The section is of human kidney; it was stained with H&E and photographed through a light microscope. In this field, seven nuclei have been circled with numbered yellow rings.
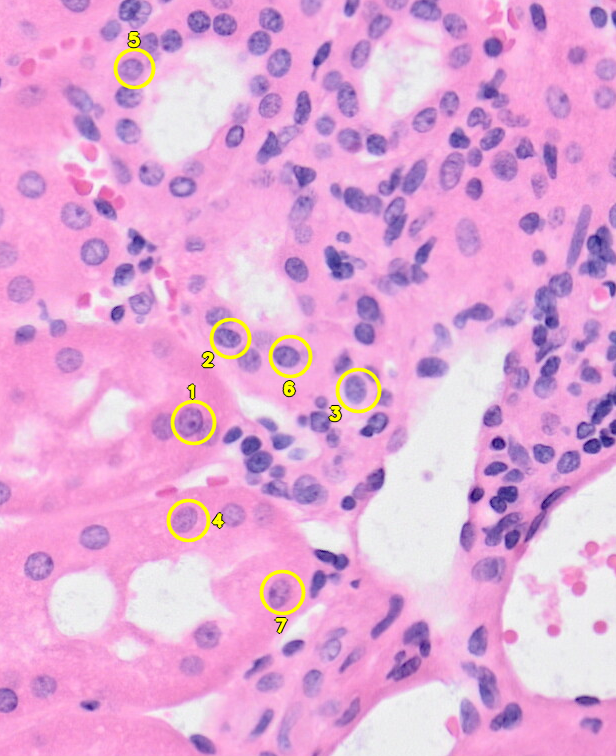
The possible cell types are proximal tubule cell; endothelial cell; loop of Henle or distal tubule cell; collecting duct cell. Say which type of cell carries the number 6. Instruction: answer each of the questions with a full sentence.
The cell given label 6 is a collecting duct cell.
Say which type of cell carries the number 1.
Number 1 among the marked cells is a proximal tubule cell.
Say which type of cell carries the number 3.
Heads up, the cell numbered 3 is a collecting duct cell.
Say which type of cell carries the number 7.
The cell carrying label 7 is identified as a proximal tubule cell.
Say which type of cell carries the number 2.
Looking at the numbered marks, cell 2 is a collecting duct cell.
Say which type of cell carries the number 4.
Cell 4 in the field is a proximal tubule cell.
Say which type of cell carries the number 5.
The cell carrying label 5 is identified as a collecting duct cell.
